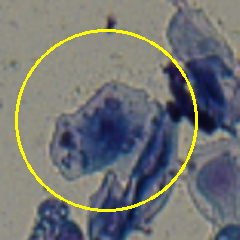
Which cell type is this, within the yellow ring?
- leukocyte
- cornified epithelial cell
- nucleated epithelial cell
Within the ring is a cornified epithelial cell.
